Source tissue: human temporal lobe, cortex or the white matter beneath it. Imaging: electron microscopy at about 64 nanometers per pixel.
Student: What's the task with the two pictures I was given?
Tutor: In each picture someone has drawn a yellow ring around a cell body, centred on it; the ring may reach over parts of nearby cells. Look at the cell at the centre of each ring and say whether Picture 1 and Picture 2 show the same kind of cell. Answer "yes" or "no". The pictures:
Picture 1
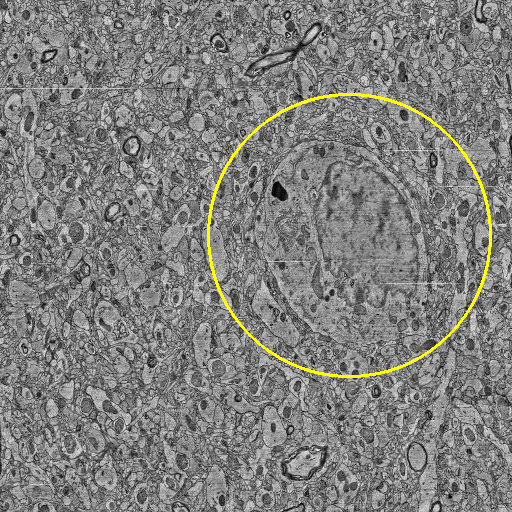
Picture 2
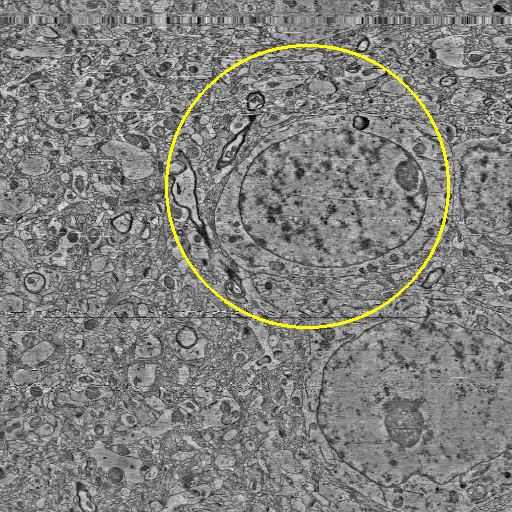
no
